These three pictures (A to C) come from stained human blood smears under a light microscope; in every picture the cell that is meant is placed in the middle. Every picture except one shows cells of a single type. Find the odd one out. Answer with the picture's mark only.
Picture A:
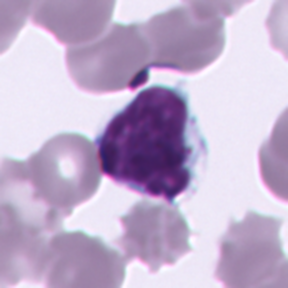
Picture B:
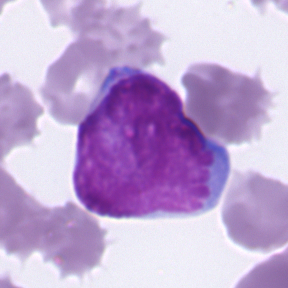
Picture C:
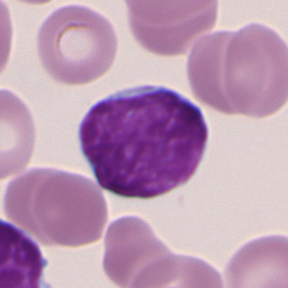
B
